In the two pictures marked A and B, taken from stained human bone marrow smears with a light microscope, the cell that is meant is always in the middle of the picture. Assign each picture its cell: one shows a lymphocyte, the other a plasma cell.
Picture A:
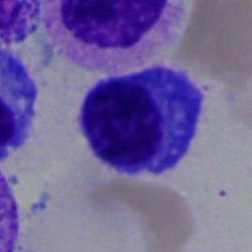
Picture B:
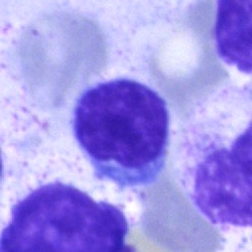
A: plasma cell
B: lymphocyte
